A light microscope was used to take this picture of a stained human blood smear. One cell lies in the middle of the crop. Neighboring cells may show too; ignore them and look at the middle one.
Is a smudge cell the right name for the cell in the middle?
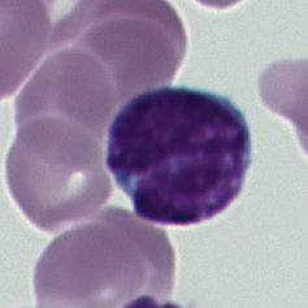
no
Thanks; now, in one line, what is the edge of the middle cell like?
Its outline is smooth, with no projections anywhere along the edge.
